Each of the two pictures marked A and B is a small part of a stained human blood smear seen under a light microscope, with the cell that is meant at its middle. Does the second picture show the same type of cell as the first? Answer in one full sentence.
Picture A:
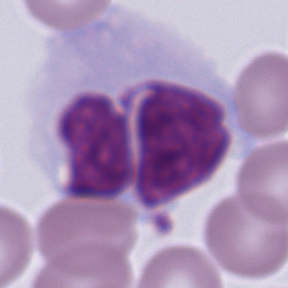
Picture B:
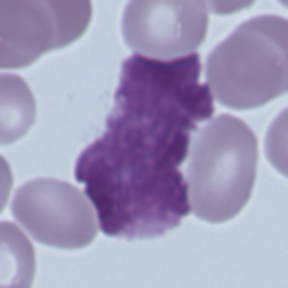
No. Picture A shows a monocyte, but picture B shows a smudge cell.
